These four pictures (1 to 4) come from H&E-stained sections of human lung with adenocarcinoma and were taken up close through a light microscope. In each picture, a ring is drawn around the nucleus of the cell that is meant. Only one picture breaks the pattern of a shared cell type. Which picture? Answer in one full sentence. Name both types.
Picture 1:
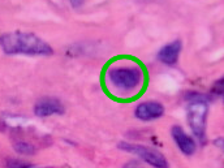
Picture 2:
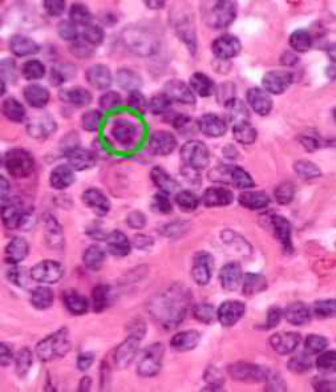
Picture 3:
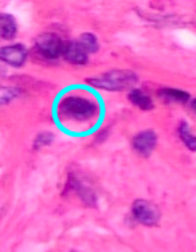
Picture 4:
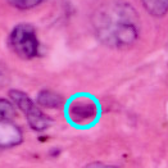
All pictures except 2 show plasma cells; picture 2 shows a lymphocyte.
